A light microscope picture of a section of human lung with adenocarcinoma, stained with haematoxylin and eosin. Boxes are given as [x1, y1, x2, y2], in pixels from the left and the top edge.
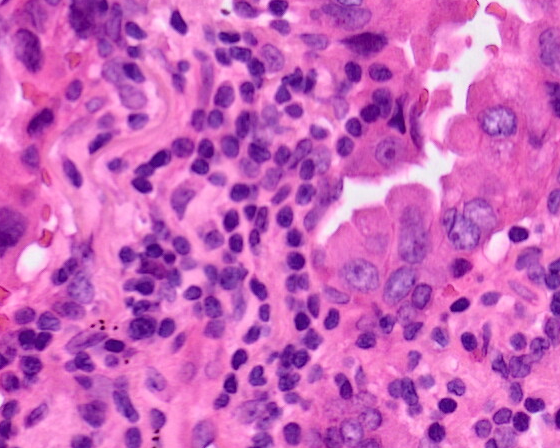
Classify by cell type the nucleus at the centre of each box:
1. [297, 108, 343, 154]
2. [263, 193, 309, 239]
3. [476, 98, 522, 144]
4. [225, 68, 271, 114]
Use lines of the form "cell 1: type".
cell 1: lymphocyte
cell 2: lymphocyte
cell 3: carcinoma cell
cell 4: lymphocyte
